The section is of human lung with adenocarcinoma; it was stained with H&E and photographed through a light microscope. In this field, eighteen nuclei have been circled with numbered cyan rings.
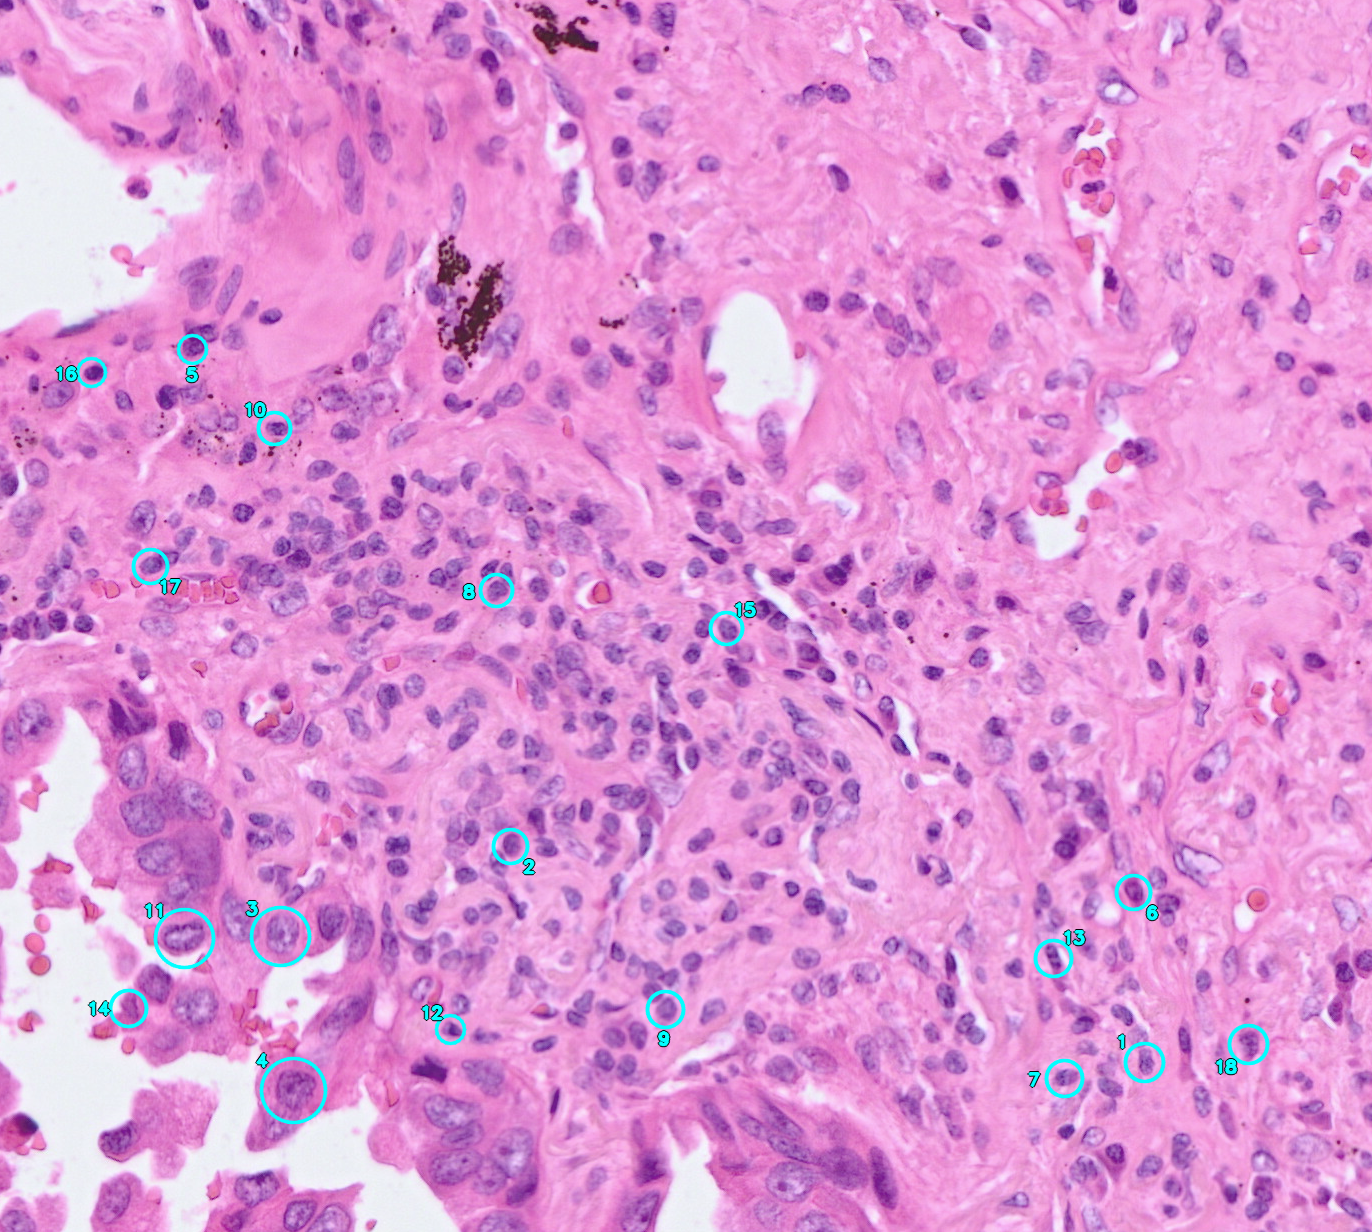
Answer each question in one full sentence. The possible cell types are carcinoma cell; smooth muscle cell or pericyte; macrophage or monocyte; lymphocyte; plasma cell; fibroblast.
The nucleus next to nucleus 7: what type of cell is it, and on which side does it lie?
The closest nucleus belongs to a plasma cell and sits below and to the right of nucleus 7.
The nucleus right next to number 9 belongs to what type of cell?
It is a lymphocyte whose nucleus is nearest to number 9.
